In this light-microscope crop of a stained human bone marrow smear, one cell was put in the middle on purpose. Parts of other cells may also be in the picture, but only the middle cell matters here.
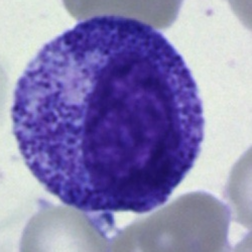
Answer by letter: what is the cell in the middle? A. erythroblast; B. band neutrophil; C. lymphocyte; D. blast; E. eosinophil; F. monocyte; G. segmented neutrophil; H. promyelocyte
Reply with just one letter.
H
